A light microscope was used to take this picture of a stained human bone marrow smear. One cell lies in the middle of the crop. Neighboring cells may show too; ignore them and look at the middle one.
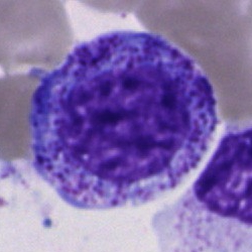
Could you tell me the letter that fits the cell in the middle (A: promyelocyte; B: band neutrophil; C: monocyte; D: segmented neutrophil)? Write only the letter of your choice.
A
